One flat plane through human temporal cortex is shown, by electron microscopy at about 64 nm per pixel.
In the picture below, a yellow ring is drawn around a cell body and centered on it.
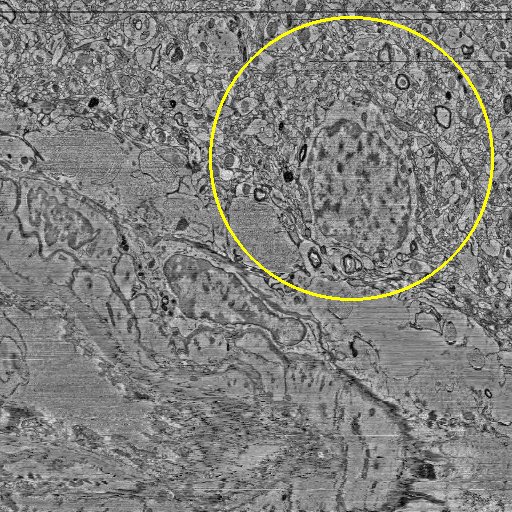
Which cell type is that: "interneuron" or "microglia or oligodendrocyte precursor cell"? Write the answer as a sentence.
The cell centered in the ring is an interneuron.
